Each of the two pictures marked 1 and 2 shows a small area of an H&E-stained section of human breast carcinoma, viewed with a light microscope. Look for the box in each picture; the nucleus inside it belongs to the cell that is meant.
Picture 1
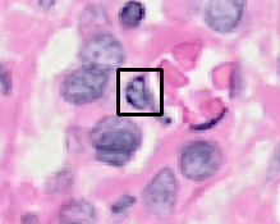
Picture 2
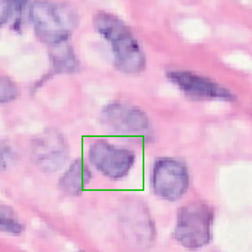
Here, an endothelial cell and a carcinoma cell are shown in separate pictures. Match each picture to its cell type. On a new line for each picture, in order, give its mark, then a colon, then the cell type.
1: endothelial cell
2: carcinoma cell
